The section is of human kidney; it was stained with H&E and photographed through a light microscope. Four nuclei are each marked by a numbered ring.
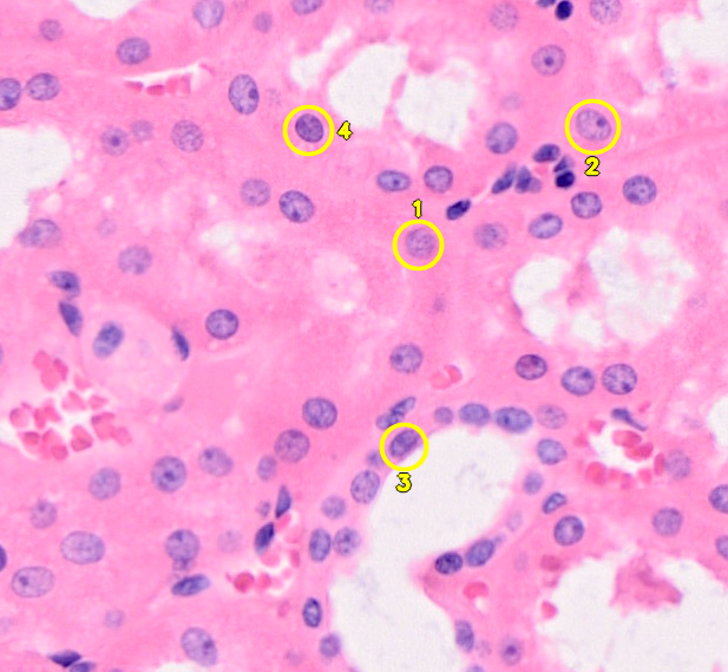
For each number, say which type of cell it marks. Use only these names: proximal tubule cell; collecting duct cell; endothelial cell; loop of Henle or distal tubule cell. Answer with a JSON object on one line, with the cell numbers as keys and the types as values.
{"1": "proximal tubule cell", "2": "proximal tubule cell", "3": "collecting duct cell", "4": "proximal tubule cell"}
